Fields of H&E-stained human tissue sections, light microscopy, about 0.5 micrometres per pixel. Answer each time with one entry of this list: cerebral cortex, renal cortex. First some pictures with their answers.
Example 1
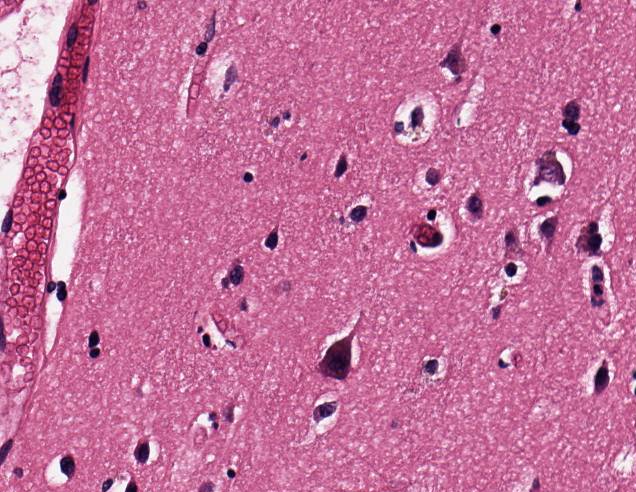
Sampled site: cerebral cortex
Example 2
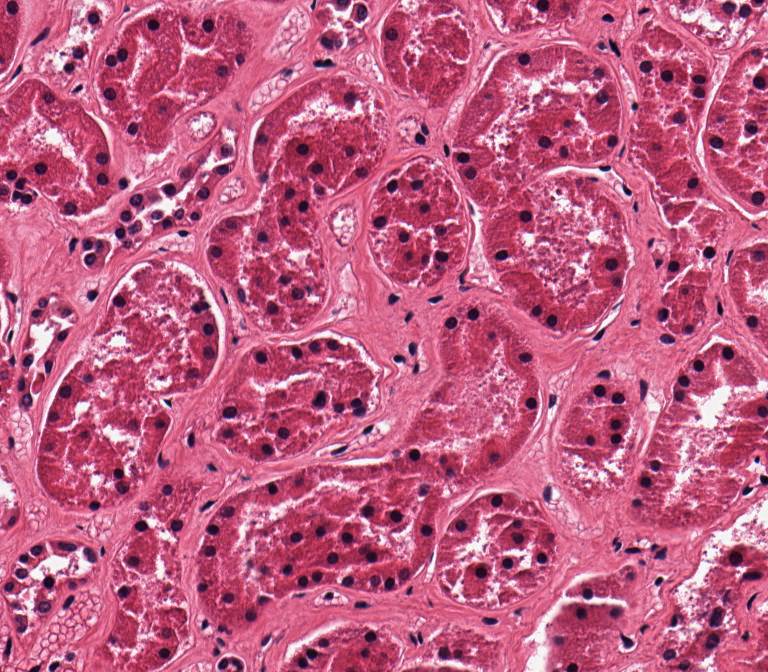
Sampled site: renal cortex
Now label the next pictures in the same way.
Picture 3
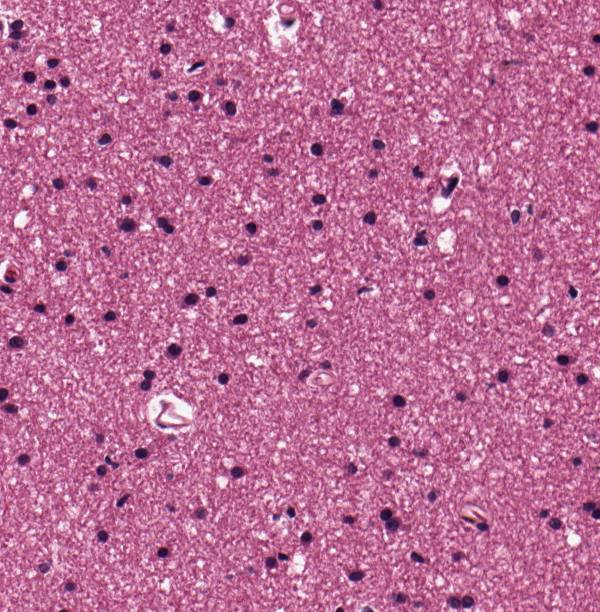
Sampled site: cerebral cortex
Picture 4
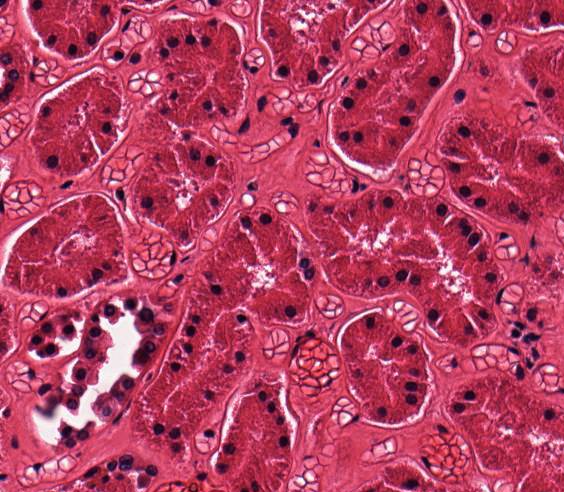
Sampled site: renal cortex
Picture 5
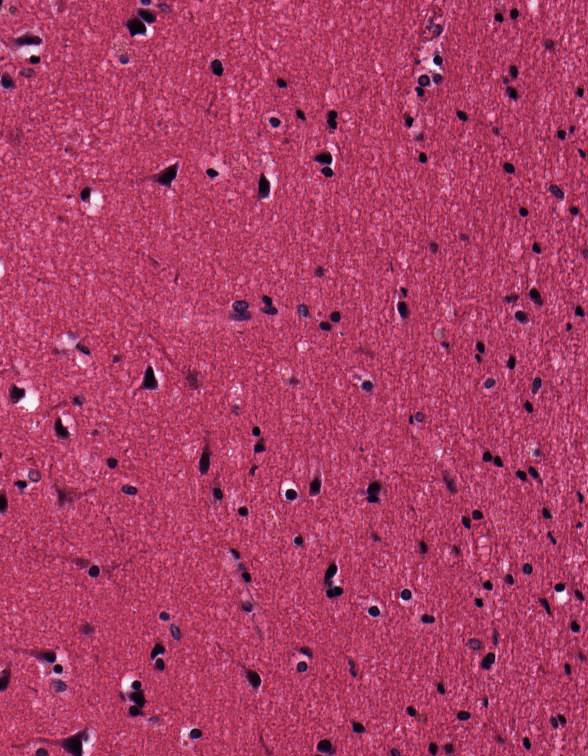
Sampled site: cerebral cortex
